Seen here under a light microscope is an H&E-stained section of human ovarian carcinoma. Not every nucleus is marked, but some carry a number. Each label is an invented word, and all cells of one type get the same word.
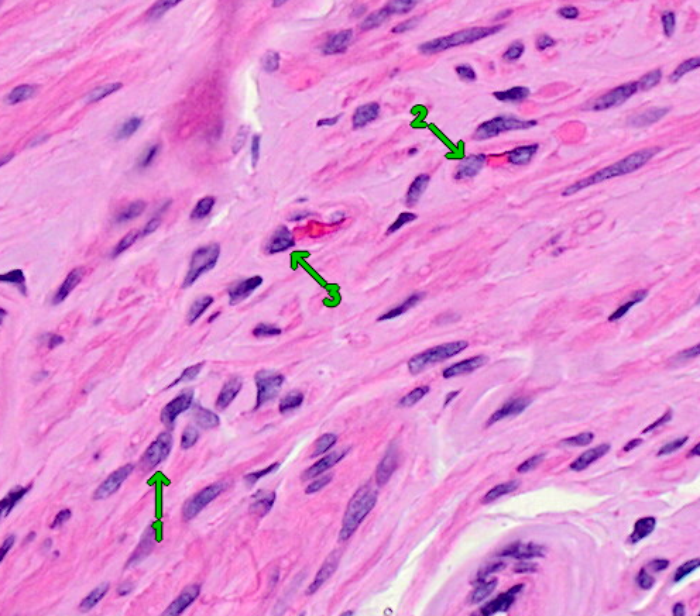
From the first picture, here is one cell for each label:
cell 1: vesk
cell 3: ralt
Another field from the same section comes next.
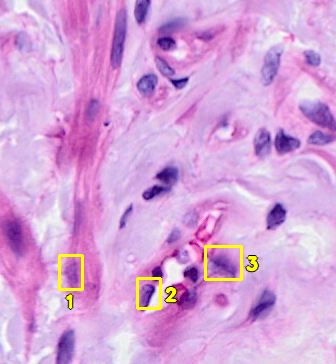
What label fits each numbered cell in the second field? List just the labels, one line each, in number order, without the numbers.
vesk
ralt
ralt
